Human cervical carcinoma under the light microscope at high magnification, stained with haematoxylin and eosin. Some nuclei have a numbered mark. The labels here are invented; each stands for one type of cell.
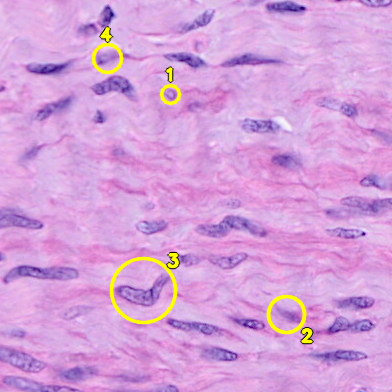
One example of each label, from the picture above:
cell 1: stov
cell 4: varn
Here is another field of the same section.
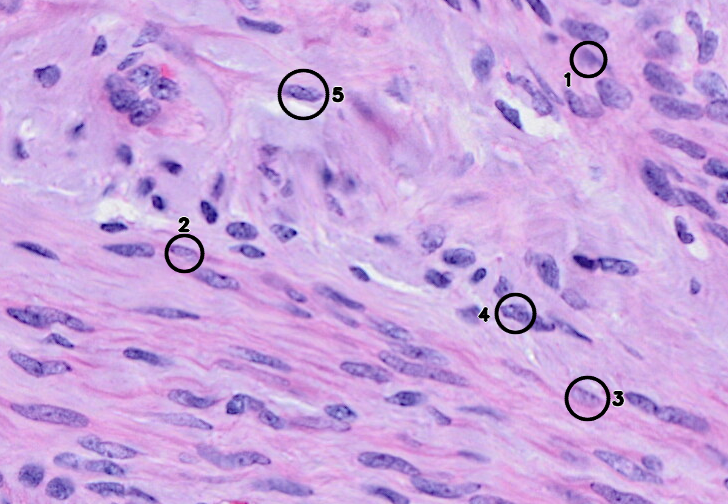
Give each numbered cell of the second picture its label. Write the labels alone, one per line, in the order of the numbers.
varn
stov
stov
varn
varn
